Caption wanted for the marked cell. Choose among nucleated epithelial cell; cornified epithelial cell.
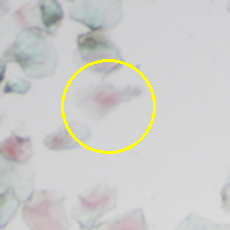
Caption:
Ringed in yellow is a nucleated epithelial cell.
